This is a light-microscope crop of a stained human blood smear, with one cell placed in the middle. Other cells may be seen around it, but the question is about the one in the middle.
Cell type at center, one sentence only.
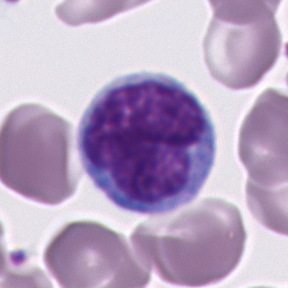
At the middle of the frame sits a monocyte.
